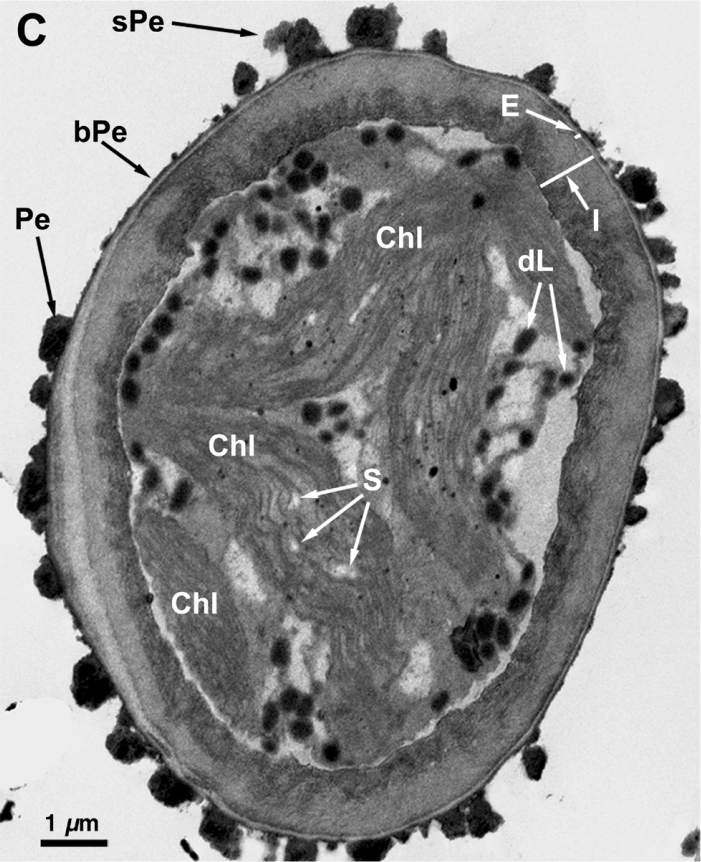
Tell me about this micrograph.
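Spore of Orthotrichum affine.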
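On the outside sit many dark, irregular clumps of perine material, connected by a thin dark basal layer. Beneath lies a pale, electron-light exine, thinner on one side and thicker on the other, and inside it a broad greyish intine. The cytoplasm holds several elongated plastids with well-developed, parallel thylakoid membranes, containing small pale starch grains. Numerous round, very dark lipid droplets lie along the periphery of the cytoplasm and between the plastids, and pale, empty-looking areas lie between them.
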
